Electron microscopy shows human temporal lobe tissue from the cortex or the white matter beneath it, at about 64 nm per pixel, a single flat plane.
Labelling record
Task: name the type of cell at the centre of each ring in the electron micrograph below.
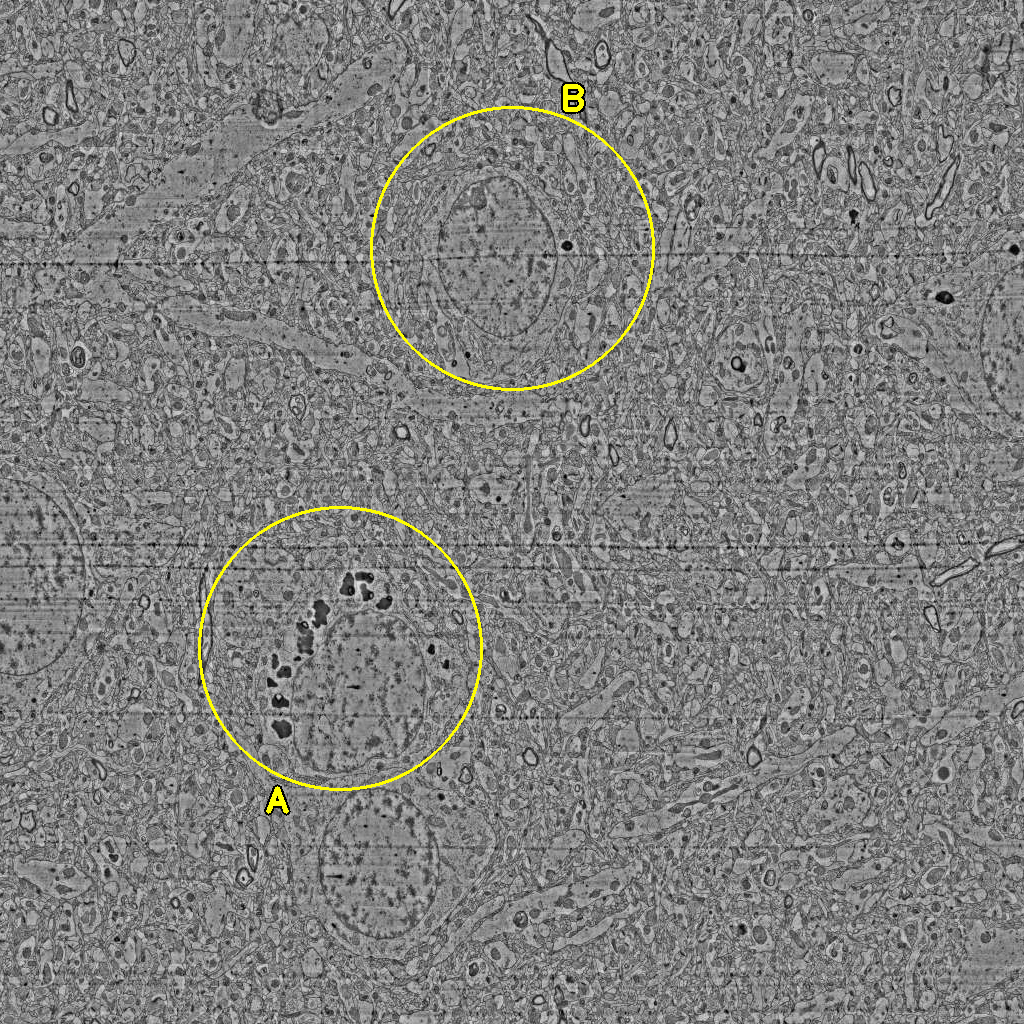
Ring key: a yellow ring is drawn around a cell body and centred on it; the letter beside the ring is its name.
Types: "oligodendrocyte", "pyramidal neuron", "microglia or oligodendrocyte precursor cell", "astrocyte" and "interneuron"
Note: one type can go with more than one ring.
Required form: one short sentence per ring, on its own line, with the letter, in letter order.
In ring A, the centred cell is an interneuron.
In ring B, the centred cell is a pyramidal neuron.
